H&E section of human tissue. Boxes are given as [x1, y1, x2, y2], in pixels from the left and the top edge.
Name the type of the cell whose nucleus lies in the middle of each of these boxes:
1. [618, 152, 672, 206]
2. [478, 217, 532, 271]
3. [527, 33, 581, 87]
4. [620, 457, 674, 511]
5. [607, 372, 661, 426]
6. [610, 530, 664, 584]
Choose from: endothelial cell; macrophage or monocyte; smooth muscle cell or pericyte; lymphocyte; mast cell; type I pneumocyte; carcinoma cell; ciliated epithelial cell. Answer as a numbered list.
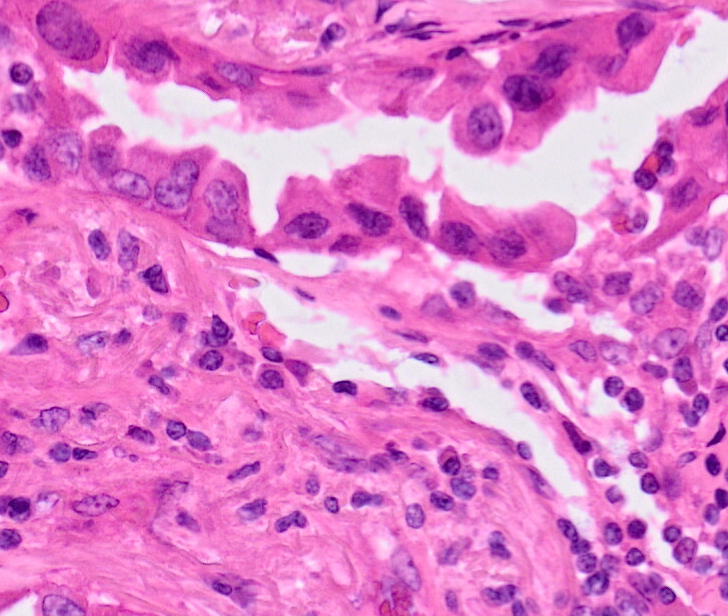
1. lymphocyte
2. carcinoma cell
3. carcinoma cell
4. lymphocyte
5. lymphocyte
6. lymphocyte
